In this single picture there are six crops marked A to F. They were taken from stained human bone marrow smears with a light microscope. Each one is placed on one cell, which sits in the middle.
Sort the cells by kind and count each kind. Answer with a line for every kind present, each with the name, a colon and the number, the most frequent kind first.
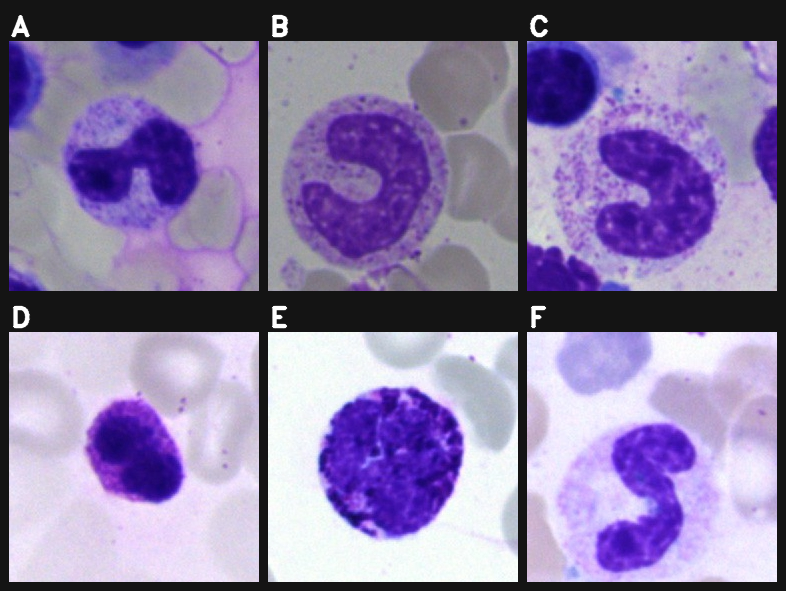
band neutrophil: 4
basophil: 2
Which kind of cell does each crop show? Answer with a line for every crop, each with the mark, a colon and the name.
A: band neutrophil
B: band neutrophil
C: band neutrophil
D: basophil
E: basophil
F: band neutrophil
